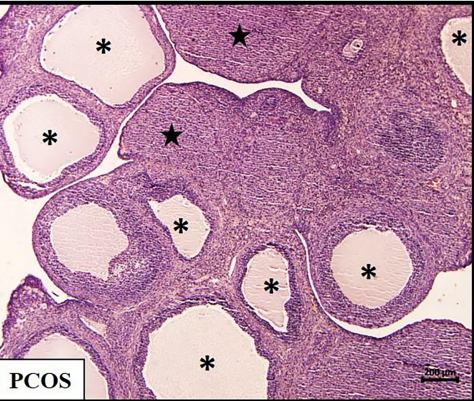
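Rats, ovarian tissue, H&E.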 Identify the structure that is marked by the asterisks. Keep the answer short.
Cystic follicles.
